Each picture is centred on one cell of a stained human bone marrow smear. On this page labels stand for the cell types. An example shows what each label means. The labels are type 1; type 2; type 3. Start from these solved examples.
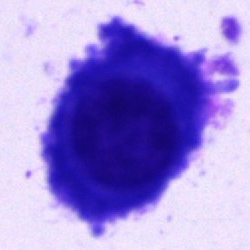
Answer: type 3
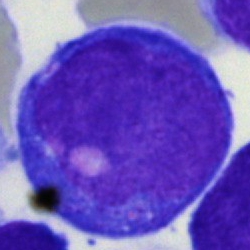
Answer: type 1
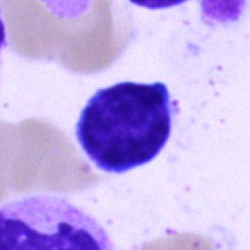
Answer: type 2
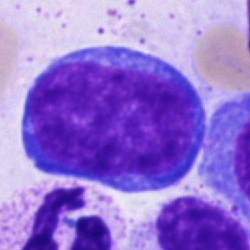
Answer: type 1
